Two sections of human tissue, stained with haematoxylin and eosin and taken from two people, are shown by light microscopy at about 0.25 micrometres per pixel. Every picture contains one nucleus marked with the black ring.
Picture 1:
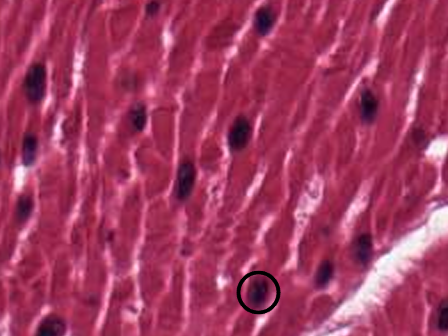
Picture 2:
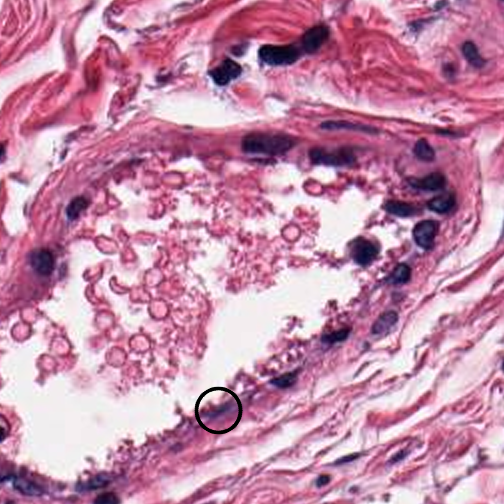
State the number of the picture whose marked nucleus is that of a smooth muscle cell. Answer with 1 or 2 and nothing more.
1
